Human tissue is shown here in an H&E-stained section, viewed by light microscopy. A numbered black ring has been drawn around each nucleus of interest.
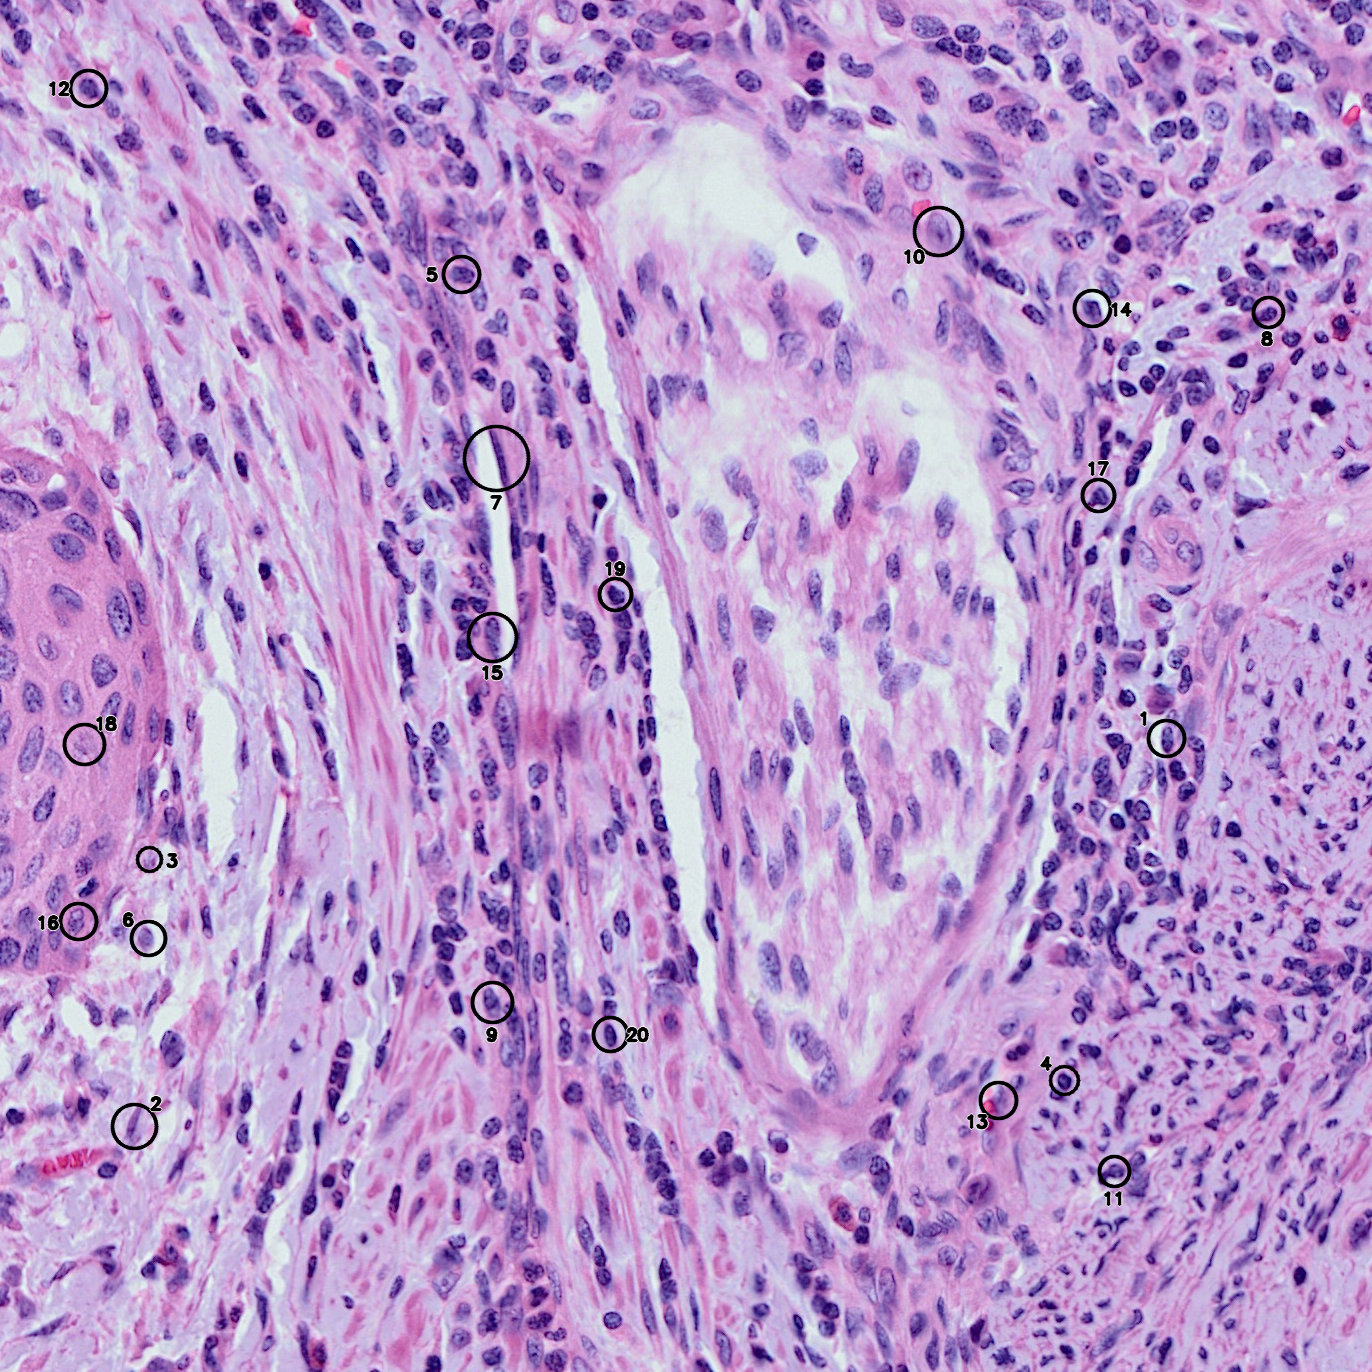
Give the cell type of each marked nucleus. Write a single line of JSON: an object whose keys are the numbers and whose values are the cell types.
{"1": "lymphocyte", "2": "fibroblast", "3": "fibroblast", "4": "lymphocyte", "5": "lymphocyte", "6": "fibroblast", "7": "endothelial cell", "8": "lymphocyte", "9": "lymphocyte", "10": "endothelial cell", "11": "lymphocyte", "12": "lymphocyte", "13": "endothelial cell", "14": "lymphocyte", "15": "endothelial cell", "16": "squamous carcinoma cell", "17": "lymphocyte", "18": "squamous carcinoma cell", "19": "lymphocyte", "20": "lymphocyte"}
